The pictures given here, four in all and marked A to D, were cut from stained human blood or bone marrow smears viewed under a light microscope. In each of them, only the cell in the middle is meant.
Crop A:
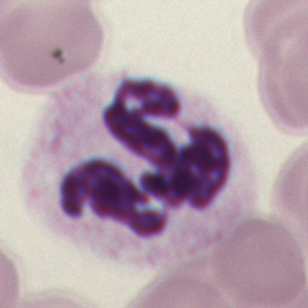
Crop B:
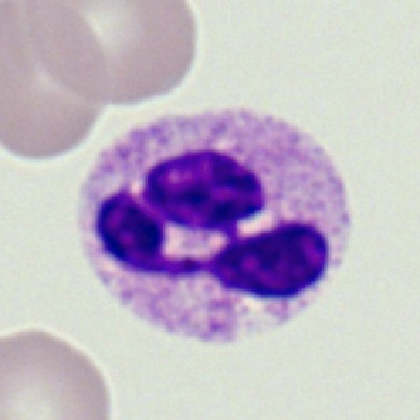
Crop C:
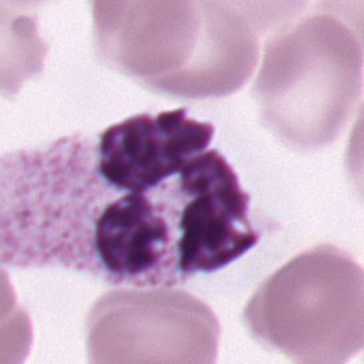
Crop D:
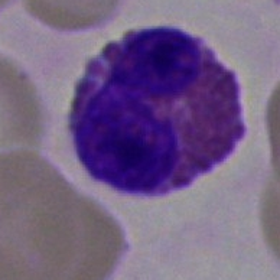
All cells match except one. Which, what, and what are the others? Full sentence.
All the crops show neutrophils except crop D, which shows an eosinophil.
